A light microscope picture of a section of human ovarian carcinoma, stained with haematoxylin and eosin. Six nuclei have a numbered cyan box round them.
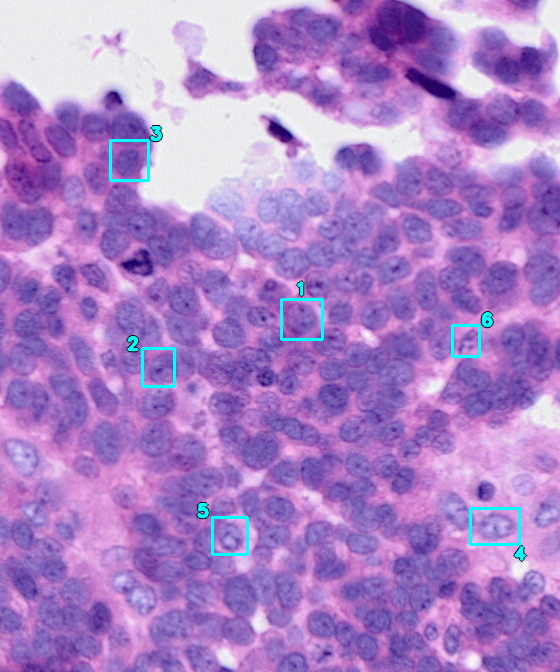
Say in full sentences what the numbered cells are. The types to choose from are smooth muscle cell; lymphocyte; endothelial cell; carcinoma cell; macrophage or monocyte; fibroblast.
Cell 1 is a carcinoma cell, cell 2 is a carcinoma cell, cell 3 is a carcinoma cell, cell 4 is a fibroblast, cell 5 is a macrophage or monocyte and cell 6 is a macrophage or monocyte.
